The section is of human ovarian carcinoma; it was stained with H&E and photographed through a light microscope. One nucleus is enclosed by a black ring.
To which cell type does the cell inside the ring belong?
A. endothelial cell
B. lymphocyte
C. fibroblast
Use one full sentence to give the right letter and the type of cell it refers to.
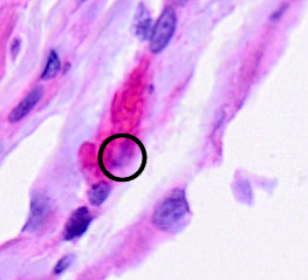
Option A gives the correct identity of the cell inside the ring, which is an endothelial cell.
